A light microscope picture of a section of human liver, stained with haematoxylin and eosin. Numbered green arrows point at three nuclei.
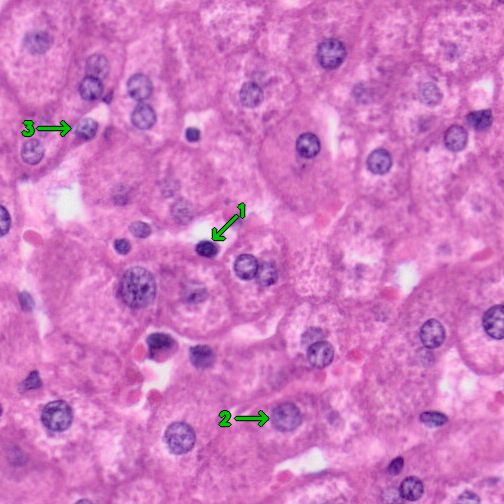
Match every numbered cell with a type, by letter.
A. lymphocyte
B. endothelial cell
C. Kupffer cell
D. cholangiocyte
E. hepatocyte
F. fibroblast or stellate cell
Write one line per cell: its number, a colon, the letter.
1: A
2: E
3: C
